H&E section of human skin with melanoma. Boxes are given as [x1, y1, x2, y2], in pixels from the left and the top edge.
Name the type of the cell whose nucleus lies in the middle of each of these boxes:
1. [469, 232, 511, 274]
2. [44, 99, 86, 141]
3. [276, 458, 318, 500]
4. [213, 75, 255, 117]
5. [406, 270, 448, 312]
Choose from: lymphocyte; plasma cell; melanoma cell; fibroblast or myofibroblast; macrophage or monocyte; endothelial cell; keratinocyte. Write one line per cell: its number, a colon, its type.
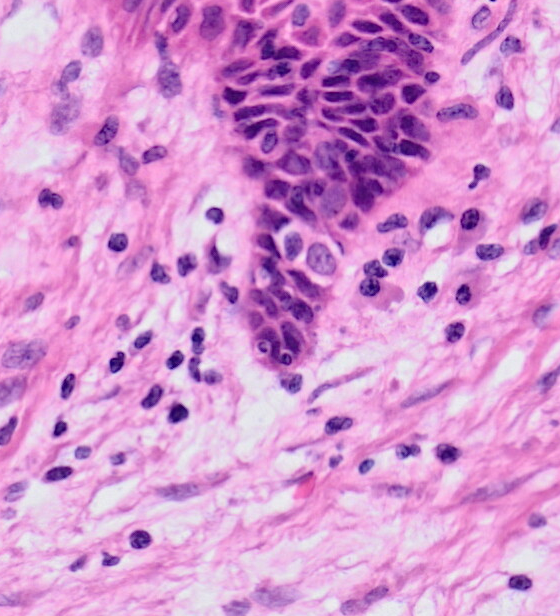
1: lymphocyte
2: fibroblast or myofibroblast
3: fibroblast or myofibroblast
4: keratinocyte
5: lymphocyte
